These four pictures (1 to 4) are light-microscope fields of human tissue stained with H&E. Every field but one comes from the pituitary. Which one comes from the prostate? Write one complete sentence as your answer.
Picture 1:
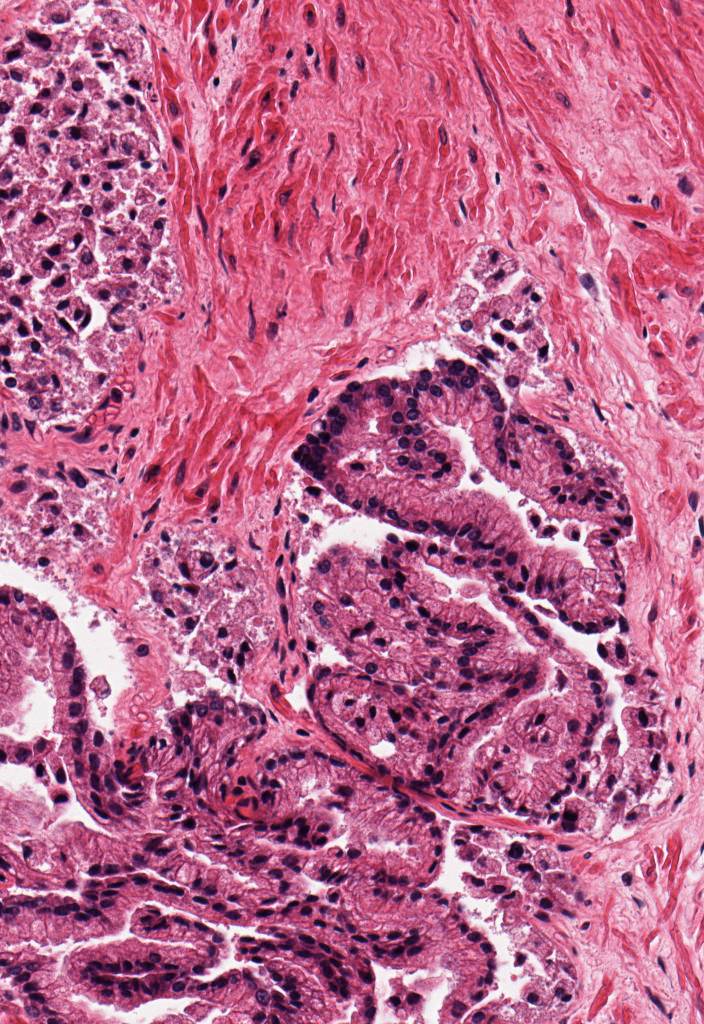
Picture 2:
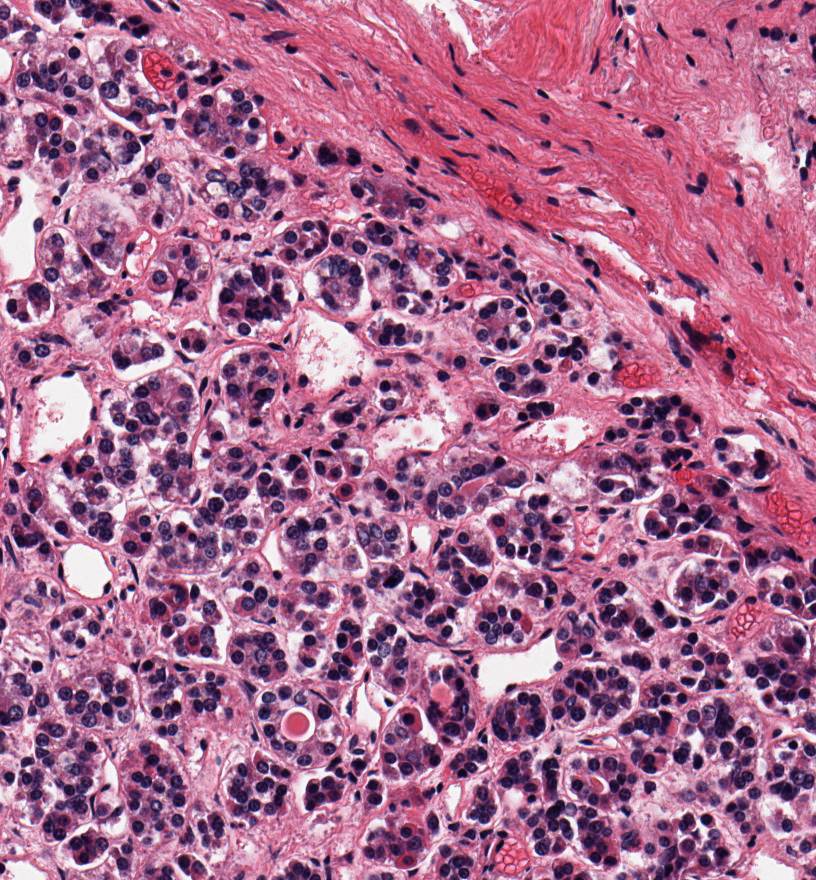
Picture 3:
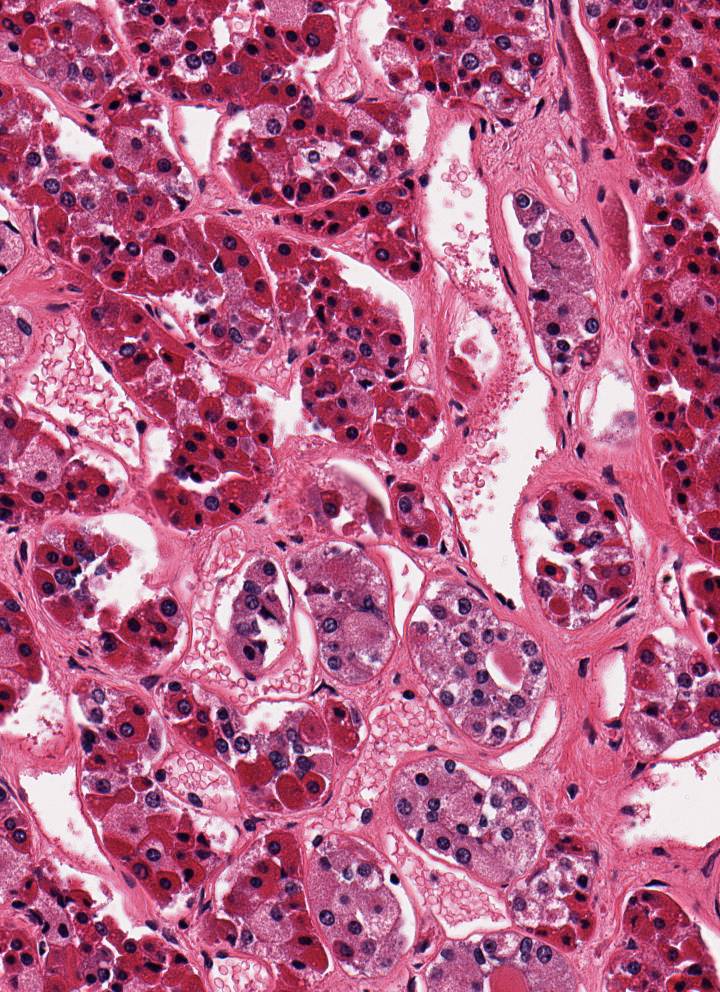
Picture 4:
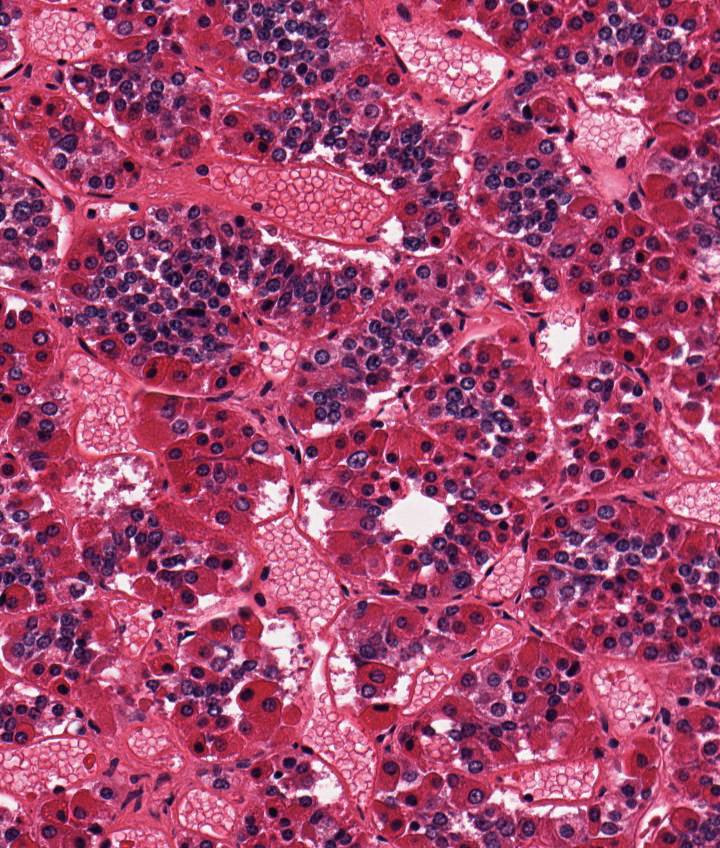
Picture 1 is the field that comes from the prostate.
